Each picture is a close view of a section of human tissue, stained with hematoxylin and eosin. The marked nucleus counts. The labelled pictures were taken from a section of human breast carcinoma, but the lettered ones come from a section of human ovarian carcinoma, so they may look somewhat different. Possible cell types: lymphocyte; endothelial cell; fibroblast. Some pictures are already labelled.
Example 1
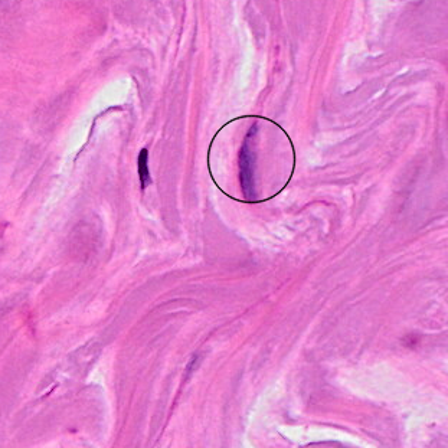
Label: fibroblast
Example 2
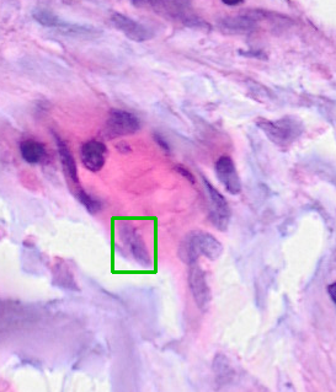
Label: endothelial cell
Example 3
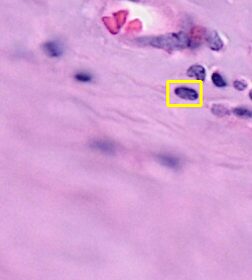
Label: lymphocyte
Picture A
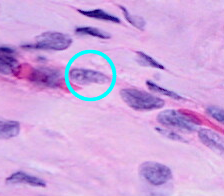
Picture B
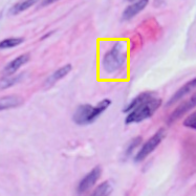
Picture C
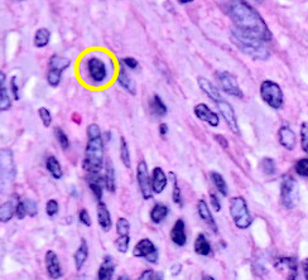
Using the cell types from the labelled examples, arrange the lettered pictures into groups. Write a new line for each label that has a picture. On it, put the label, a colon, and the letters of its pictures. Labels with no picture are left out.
lymphocyte: C
endothelial cell: A, B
